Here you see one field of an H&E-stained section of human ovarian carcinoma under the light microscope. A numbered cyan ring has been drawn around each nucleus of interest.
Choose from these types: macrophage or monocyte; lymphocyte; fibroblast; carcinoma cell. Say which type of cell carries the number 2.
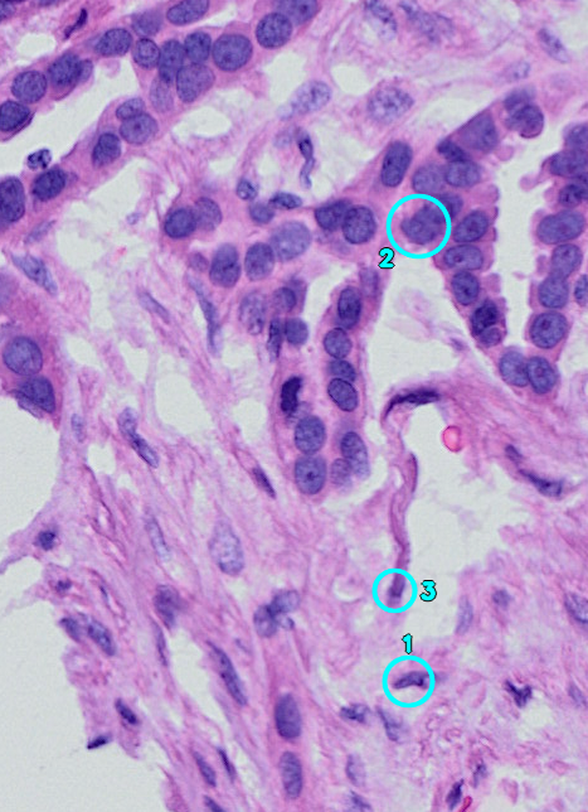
carcinoma cell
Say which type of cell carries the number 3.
fibroblast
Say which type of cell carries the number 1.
fibroblast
